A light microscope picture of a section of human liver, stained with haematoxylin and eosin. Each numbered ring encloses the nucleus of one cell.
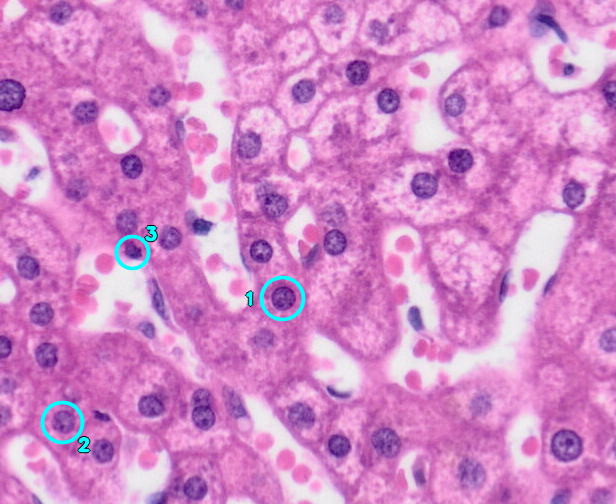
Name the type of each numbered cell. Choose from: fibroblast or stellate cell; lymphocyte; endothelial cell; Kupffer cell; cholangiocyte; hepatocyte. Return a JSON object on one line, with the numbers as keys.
{"1": "hepatocyte", "2": "hepatocyte", "3": "fibroblast or stellate cell"}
